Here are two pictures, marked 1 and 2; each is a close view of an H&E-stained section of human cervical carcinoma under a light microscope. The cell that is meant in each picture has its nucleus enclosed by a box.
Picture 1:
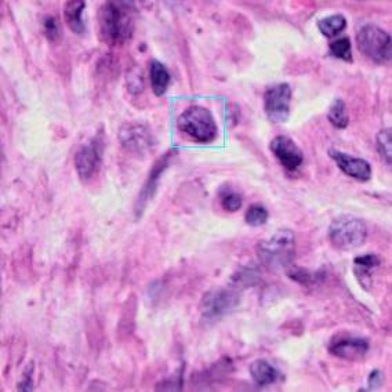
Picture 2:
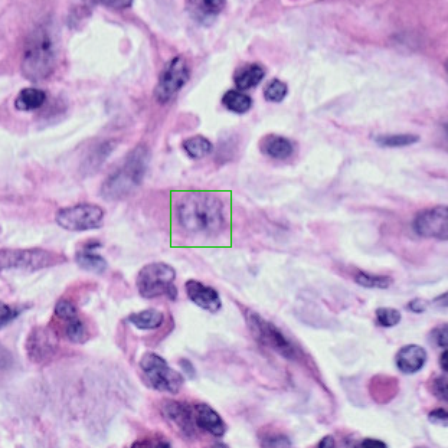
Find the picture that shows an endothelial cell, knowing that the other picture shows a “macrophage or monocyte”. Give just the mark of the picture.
2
